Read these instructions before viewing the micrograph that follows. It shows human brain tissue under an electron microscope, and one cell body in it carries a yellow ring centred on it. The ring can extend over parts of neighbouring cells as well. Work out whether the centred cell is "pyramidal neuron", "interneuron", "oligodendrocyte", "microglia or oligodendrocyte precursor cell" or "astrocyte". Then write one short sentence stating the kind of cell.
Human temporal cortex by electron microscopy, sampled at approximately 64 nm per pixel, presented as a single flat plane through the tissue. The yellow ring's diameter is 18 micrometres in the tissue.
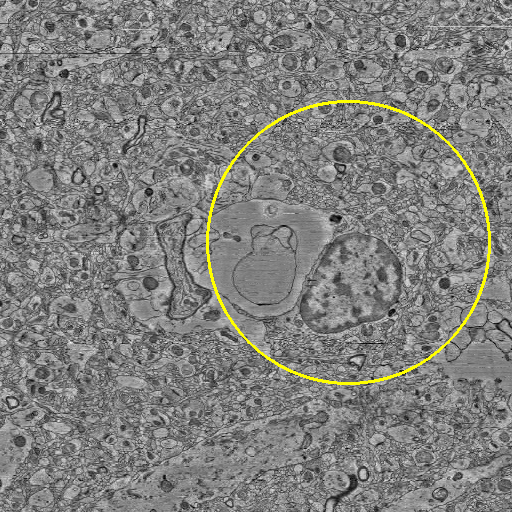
The ringed cell is a microglial cell or oligodendrocyte precursor cell.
